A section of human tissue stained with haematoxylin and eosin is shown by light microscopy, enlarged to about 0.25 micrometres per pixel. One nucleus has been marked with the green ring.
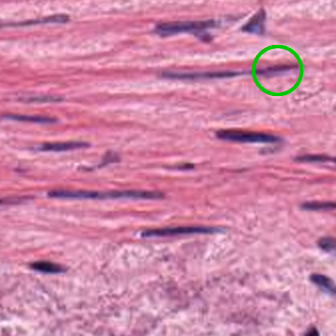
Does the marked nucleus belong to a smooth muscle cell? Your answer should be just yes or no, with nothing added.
yes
